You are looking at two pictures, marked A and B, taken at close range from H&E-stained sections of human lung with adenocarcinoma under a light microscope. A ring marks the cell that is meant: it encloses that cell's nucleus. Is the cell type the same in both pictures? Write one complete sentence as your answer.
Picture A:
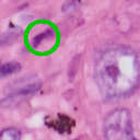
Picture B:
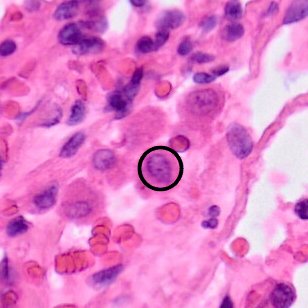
No, the types are not the same, since picture A shows a plasma cell and picture B a “macrophage or monocyte”.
